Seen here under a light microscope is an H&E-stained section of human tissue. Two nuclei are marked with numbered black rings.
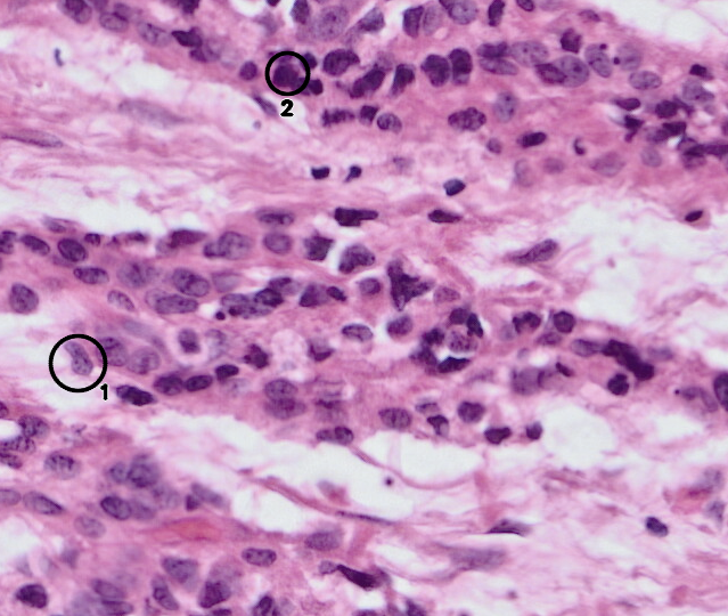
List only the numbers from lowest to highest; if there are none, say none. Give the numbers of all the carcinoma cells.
2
